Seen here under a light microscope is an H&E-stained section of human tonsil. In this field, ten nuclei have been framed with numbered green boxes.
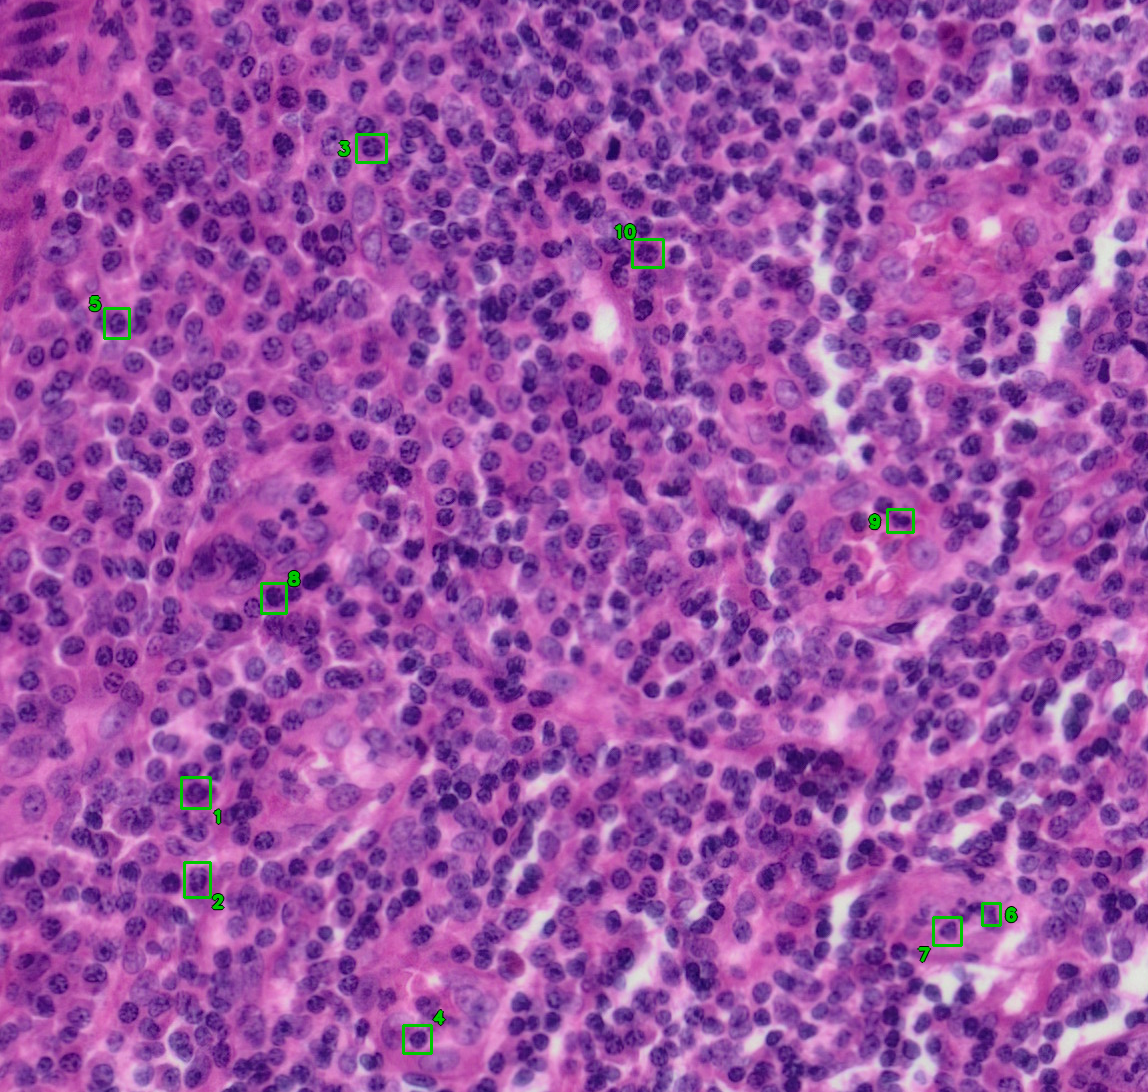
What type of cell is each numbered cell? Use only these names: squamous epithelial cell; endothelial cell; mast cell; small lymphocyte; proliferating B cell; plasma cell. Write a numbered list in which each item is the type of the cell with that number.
1. plasma cell
2. plasma cell
3. plasma cell
4. endothelial cell
5. plasma cell
6. endothelial cell
7. endothelial cell
8. plasma cell
9. endothelial cell
10. plasma cell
